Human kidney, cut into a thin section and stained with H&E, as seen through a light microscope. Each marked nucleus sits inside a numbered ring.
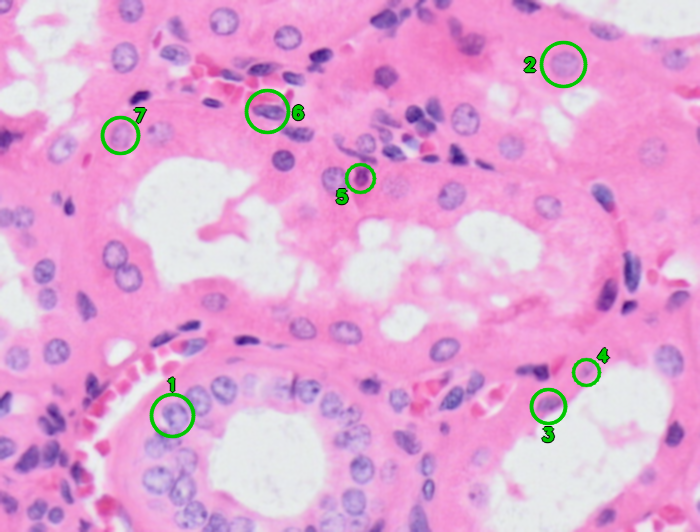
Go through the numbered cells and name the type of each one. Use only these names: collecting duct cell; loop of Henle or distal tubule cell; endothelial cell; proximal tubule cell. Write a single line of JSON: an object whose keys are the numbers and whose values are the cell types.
{"1": "collecting duct cell", "2": "proximal tubule cell", "3": "loop of Henle or distal tubule cell", "4": "loop of Henle or distal tubule cell", "5": "proximal tubule cell", "6": "endothelial cell", "7": "proximal tubule cell"}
